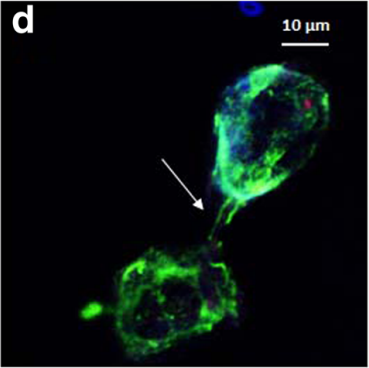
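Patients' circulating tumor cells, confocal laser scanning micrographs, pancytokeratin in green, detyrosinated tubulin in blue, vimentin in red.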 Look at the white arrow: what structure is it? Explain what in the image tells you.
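A slender green strand links the upper cell to the lower cell. The arrow points at this connecting strand.
Answer: cytoskeletal bridges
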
